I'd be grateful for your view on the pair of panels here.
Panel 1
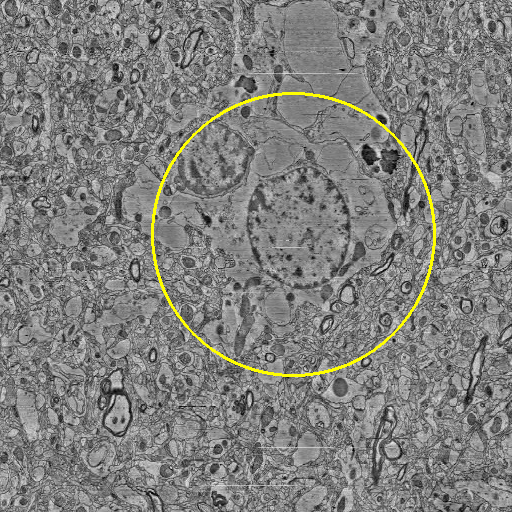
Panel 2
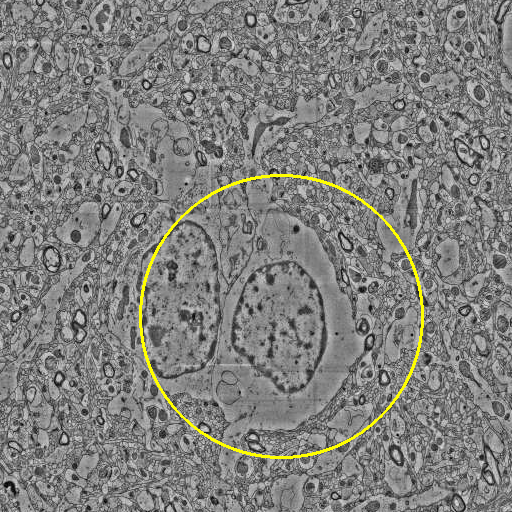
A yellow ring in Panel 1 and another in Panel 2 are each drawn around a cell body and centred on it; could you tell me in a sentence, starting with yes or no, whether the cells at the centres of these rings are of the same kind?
Yes, they are the same kind of cell.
